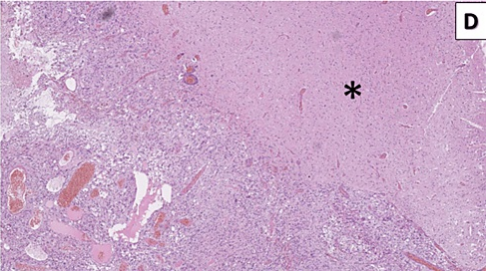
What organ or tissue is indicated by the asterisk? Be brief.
non-infiltrated brain parenchyma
